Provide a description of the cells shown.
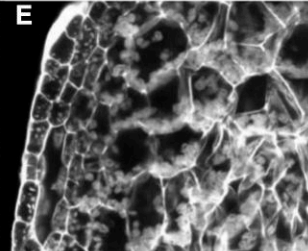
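Beneath a thin edge row of small, narrow cells lie much larger, thin-walled polyhedral cells with bright outlined walls. These are parenchymatous storage cells, their interiors largely dark and empty-looking. Clusters of small bright round granules sit within them, heaped mostly against one wall rather than spread through the cell. The small cells at the left margin still hold scattered granules more evenly. The clustering on one side of the large cells gives the granules a polarized layout.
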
